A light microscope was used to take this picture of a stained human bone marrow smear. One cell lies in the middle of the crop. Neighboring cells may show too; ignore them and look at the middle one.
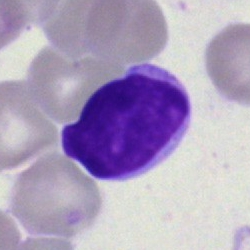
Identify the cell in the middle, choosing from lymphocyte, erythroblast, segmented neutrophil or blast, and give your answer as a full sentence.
Present in the middle of the crop is a lymphocyte.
